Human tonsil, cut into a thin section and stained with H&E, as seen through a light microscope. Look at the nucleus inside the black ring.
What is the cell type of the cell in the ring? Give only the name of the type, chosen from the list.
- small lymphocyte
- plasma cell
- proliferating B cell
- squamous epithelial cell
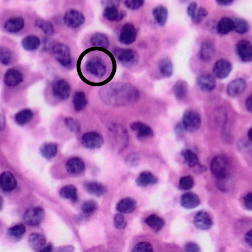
plasma cell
